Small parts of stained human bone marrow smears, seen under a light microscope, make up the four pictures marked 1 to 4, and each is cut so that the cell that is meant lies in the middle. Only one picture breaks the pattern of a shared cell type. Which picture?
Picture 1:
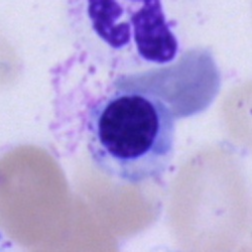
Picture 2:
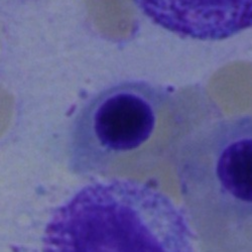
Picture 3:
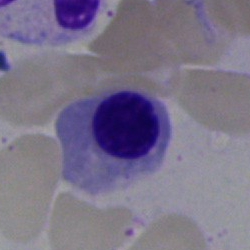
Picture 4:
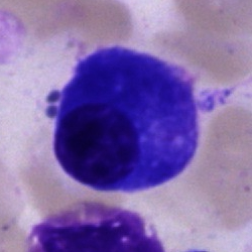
4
